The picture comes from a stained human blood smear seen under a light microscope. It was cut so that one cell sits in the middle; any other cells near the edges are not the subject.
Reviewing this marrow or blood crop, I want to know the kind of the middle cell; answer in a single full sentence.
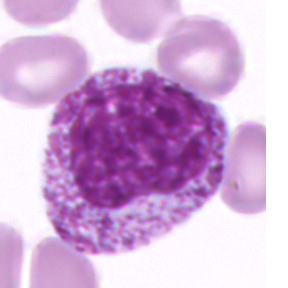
The cell of interest, located centrally, is a myelocyte.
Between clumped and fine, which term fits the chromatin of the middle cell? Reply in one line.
You can see that its chromatin is coarsely clumped.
